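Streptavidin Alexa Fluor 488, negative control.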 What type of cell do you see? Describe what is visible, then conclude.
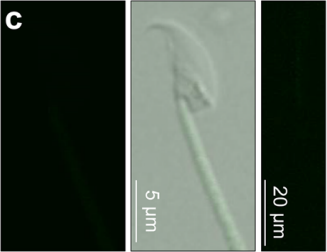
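A cell with a flattened hook-shaped head. A long thin flagellum extends from the head. On this evidence: spermatozoa.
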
